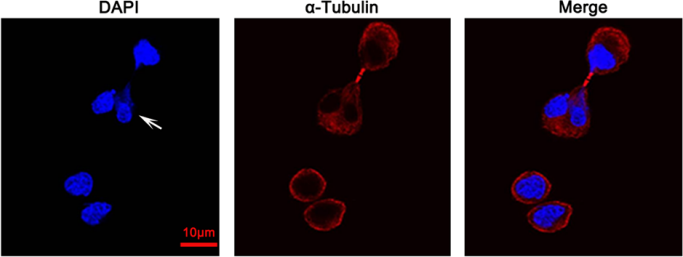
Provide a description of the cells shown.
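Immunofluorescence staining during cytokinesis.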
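These are cultured cells with their nuclei in blue and their cytoplasm outlined in red. At the top, two cells are joined by a thin red strand.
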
